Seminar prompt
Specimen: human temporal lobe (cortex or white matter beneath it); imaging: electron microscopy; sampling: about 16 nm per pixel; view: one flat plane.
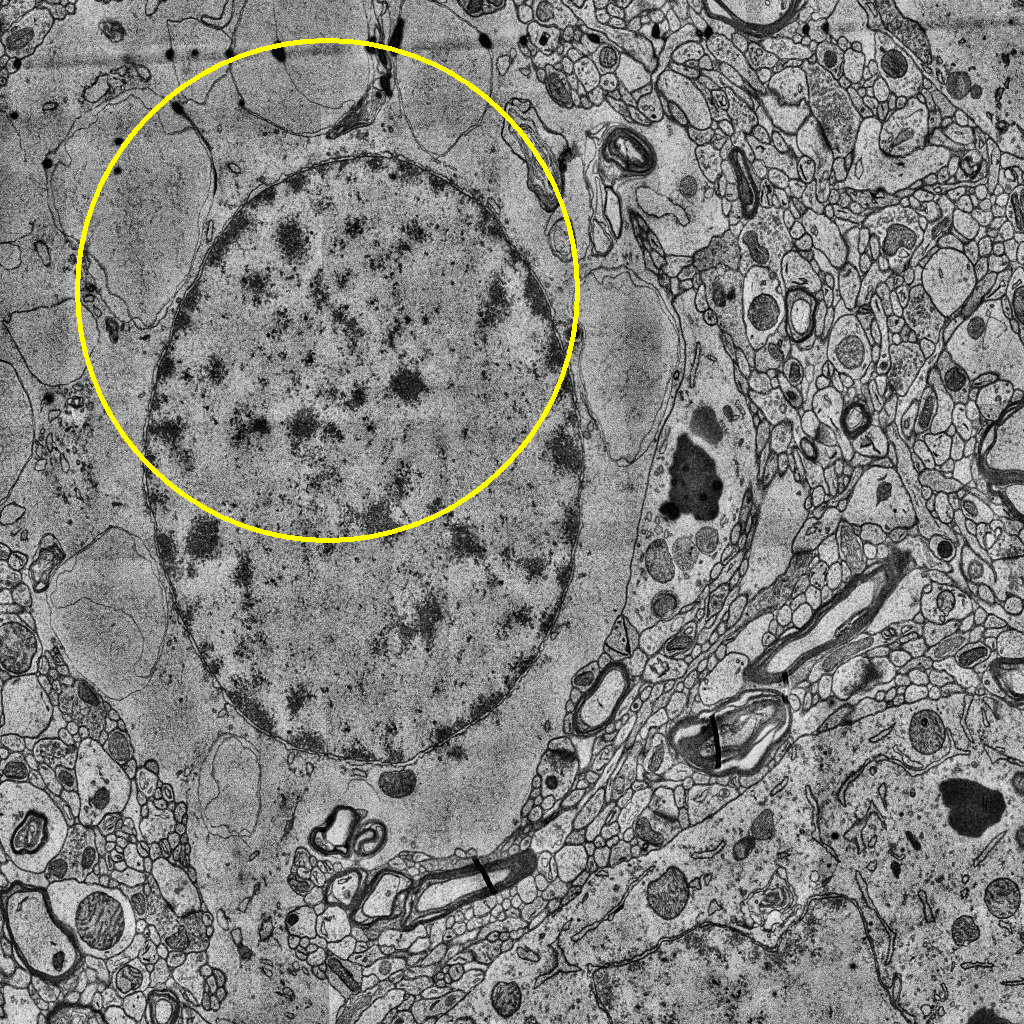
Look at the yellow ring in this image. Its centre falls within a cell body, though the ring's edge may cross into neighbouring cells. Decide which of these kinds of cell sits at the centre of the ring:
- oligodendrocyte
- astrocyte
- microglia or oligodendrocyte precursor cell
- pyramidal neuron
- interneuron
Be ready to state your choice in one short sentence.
The kind of cell at the ring's centre is an astrocyte.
